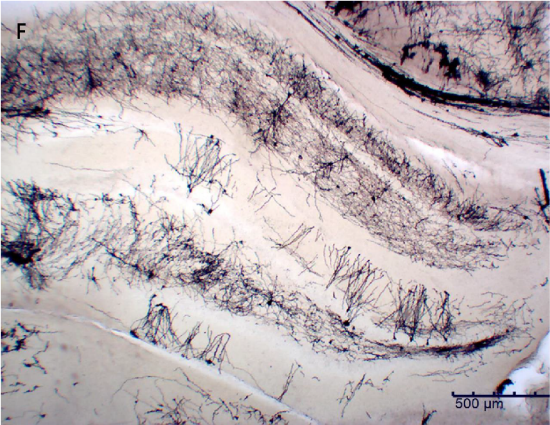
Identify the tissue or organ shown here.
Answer: Hippocampus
